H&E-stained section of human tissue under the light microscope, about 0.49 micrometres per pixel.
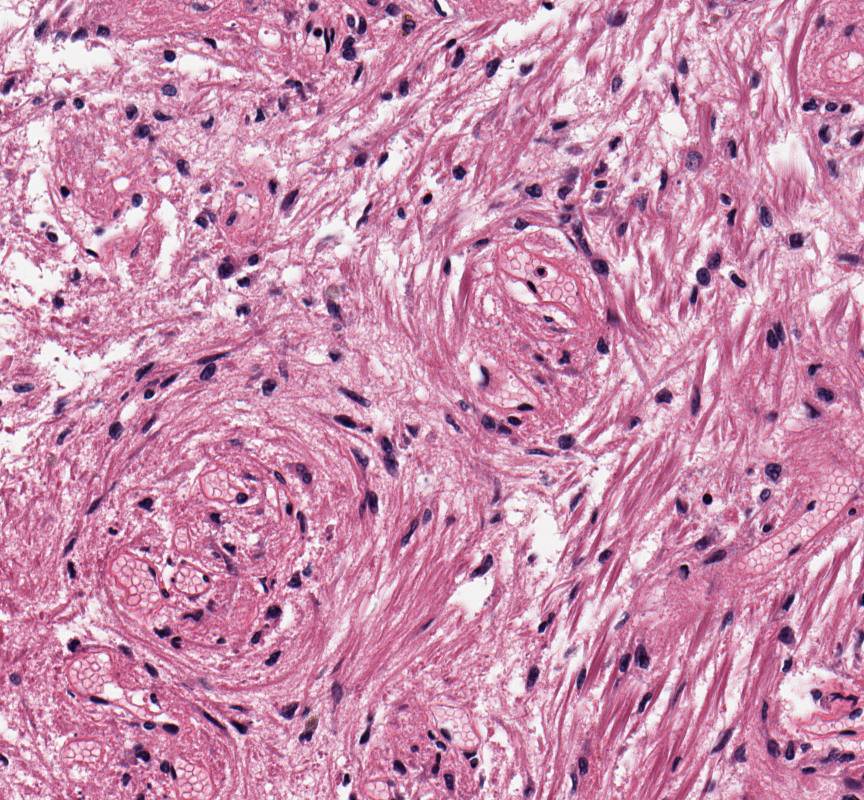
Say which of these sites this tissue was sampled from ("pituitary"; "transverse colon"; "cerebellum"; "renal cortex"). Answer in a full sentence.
The site this tissue was sampled from is the pituitary.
